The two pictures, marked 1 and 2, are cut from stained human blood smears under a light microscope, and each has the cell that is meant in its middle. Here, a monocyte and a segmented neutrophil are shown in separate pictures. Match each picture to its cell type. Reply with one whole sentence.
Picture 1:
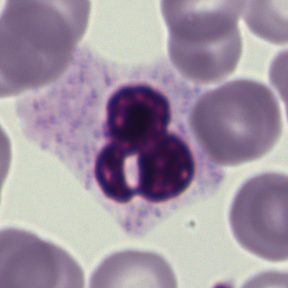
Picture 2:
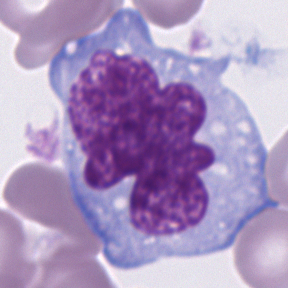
Picture 1 is of a segmented neutrophil, and picture 2 is of a monocyte.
